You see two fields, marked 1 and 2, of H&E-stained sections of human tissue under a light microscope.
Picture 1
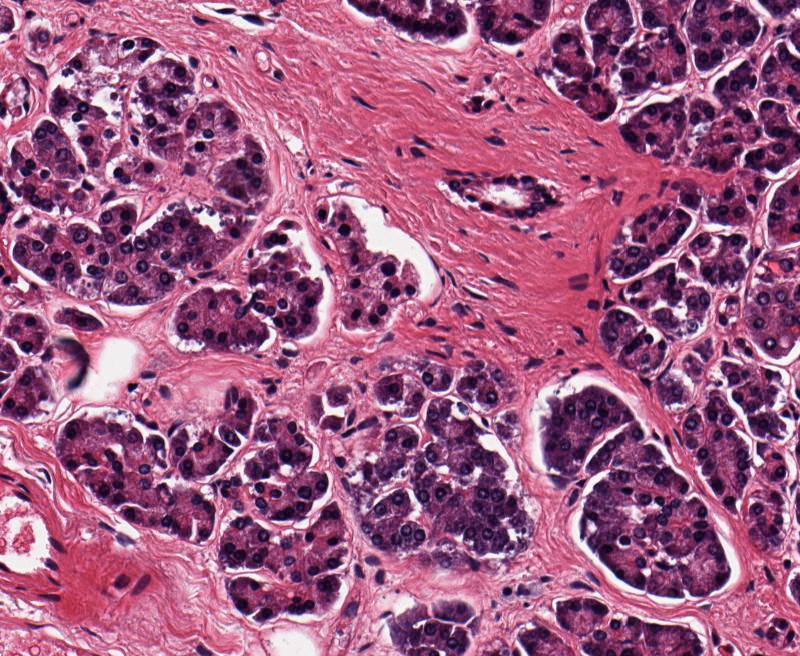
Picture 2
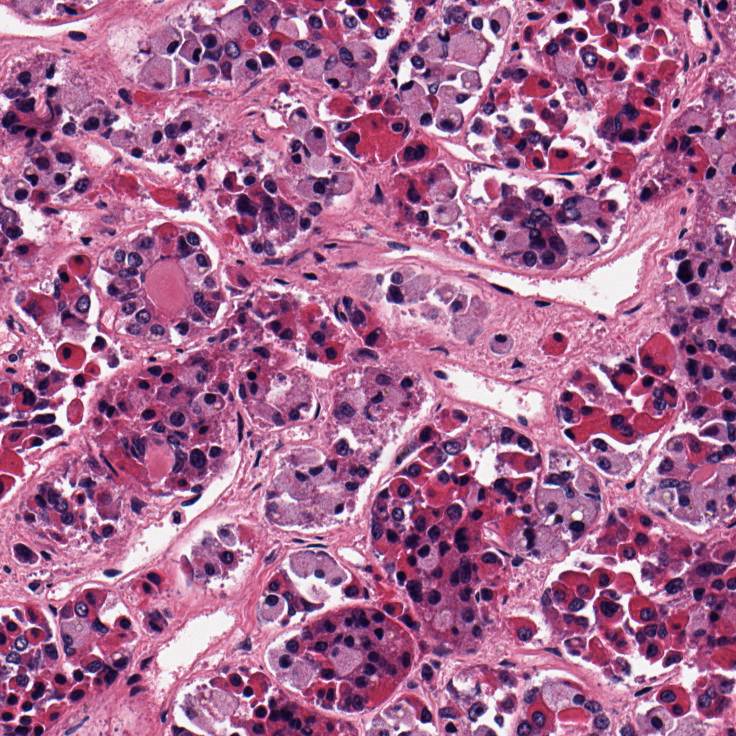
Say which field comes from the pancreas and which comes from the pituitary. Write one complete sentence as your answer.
It is picture 1 that comes from the pancreas, and picture 2 that comes from the pituitary.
